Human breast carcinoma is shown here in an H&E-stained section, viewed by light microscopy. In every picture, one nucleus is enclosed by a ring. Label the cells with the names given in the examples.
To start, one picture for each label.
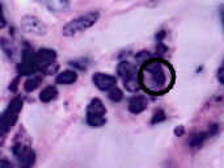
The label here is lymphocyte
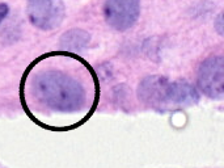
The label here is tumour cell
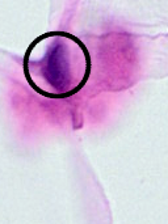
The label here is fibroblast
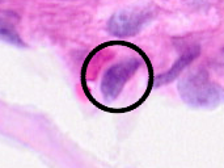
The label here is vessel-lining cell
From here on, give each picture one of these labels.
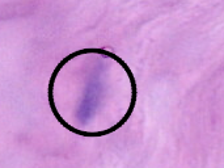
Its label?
fibroblast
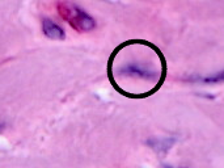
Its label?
fibroblast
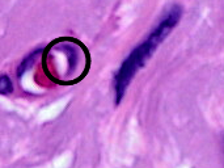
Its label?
vessel-lining cell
